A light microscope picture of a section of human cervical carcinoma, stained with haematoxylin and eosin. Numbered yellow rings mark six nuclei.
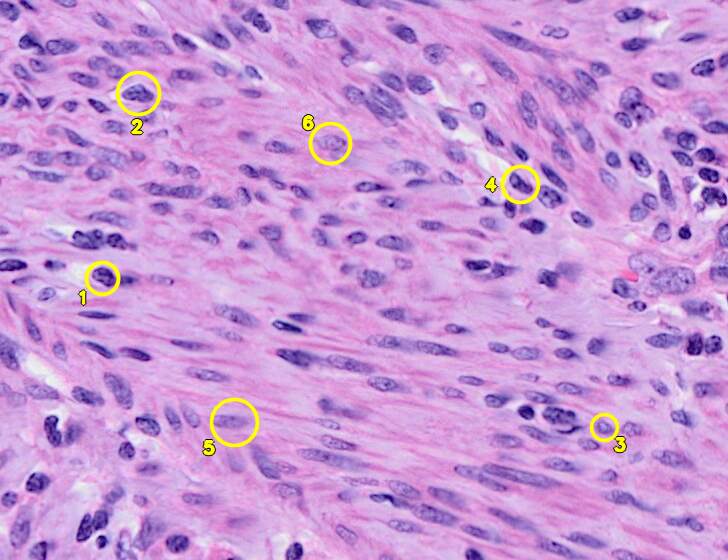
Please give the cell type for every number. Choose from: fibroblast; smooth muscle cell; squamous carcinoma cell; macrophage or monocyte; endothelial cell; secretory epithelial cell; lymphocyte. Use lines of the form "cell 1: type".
cell 1: lymphocyte
cell 2: lymphocyte
cell 3: smooth muscle cell
cell 4: lymphocyte
cell 5: smooth muscle cell
cell 6: smooth muscle cell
